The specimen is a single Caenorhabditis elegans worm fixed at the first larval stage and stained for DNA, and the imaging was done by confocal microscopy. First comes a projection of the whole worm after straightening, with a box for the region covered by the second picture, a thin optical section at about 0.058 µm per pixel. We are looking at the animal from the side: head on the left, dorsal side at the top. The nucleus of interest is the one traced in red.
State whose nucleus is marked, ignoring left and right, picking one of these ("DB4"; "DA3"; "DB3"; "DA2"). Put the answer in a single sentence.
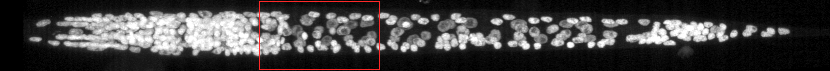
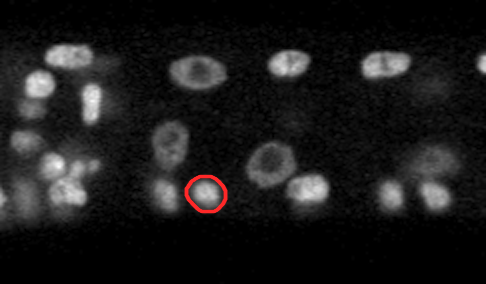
The marked cell is DA2, a neuron.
